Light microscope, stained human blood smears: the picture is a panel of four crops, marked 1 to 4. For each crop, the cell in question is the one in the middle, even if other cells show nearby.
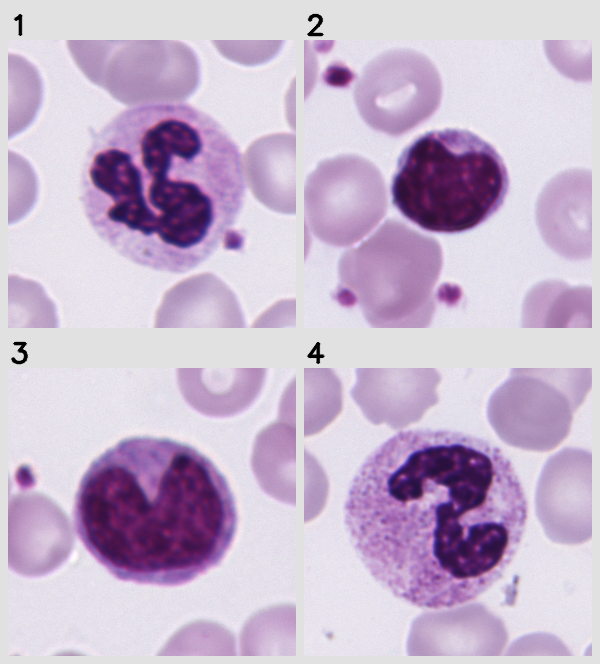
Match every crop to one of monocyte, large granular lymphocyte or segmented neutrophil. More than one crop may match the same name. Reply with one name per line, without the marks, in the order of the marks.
segmented neutrophil
large granular lymphocyte
monocyte
segmented neutrophil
